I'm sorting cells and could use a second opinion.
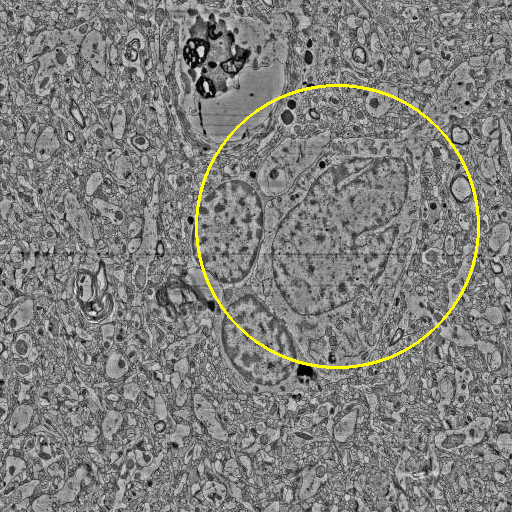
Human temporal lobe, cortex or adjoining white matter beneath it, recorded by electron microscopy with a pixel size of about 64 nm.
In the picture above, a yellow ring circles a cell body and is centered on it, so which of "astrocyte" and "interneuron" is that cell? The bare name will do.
interneuron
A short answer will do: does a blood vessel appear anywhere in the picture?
No.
